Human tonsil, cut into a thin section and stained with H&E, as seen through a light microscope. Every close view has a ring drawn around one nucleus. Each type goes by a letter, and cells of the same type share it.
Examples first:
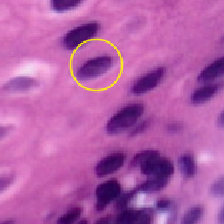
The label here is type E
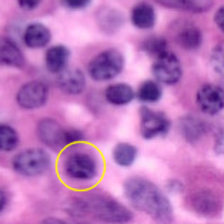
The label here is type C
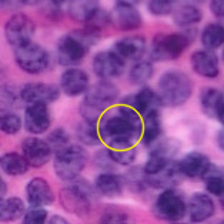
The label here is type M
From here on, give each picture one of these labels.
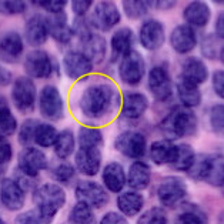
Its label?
type M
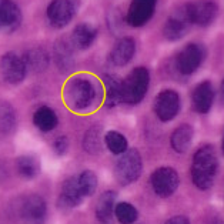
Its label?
type E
